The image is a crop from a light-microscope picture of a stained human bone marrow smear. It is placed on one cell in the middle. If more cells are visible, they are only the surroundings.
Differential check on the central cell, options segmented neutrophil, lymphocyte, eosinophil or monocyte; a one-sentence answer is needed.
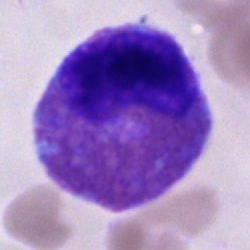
The cell the crop is centered on is an eosinophil.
